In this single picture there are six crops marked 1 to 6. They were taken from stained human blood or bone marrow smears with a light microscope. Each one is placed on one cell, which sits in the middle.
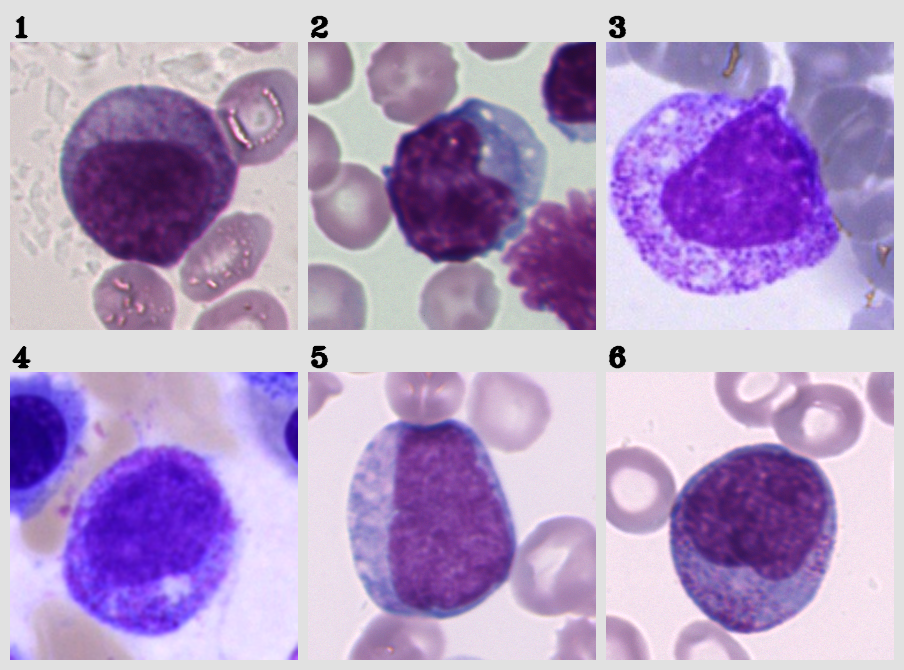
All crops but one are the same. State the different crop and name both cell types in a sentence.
Crop 2 contains a monocyte, setting it apart from the other crops, which all contain promyelocytes.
